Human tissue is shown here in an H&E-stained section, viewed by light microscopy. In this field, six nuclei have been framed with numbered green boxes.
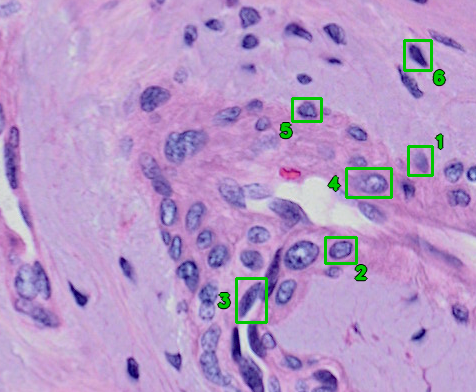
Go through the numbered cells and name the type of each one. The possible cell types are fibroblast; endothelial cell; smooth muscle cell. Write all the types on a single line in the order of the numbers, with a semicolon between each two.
smooth muscle cell; smooth muscle cell; endothelial cell; smooth muscle cell; smooth muscle cell; fibroblast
